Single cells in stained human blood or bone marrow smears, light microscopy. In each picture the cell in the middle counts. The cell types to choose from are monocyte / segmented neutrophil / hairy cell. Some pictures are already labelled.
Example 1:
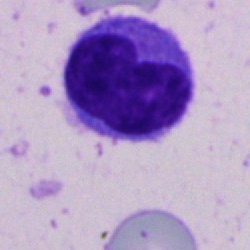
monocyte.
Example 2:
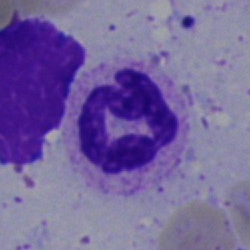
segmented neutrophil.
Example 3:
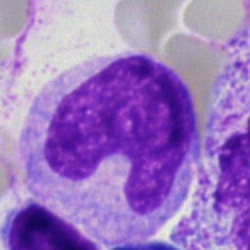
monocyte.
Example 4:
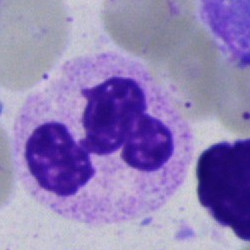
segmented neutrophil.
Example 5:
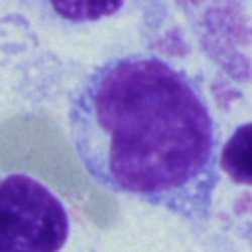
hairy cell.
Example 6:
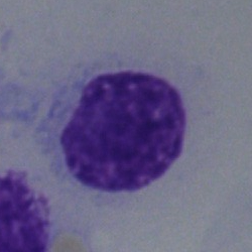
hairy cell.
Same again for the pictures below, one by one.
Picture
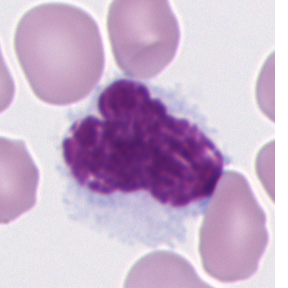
hairy cell.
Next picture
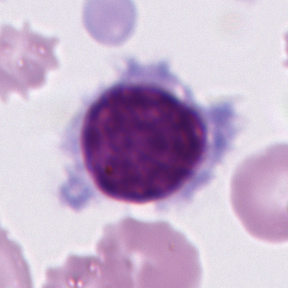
hairy cell.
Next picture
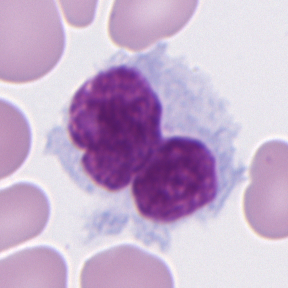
hairy cell.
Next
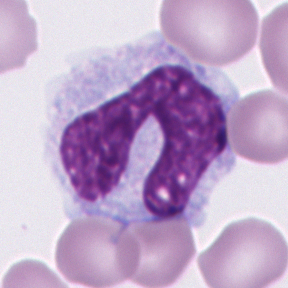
monocyte.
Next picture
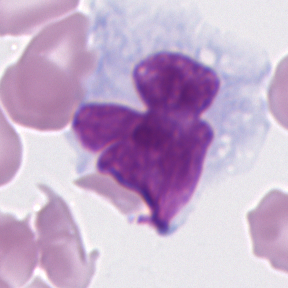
hairy cell.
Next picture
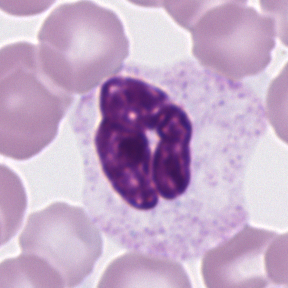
segmented neutrophil.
